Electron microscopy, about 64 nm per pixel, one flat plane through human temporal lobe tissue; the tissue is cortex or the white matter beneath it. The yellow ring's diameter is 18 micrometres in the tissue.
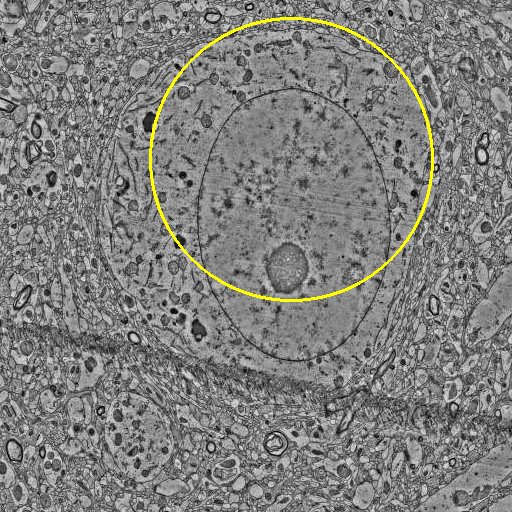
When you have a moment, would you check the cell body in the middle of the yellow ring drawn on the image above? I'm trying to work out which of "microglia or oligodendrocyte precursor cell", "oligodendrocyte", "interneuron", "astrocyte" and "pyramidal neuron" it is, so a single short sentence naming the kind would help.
This cell body belongs to a pyramidal neuron.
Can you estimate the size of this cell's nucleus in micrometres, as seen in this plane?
In this plane the nucleus is about 18 micrometres by 12.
